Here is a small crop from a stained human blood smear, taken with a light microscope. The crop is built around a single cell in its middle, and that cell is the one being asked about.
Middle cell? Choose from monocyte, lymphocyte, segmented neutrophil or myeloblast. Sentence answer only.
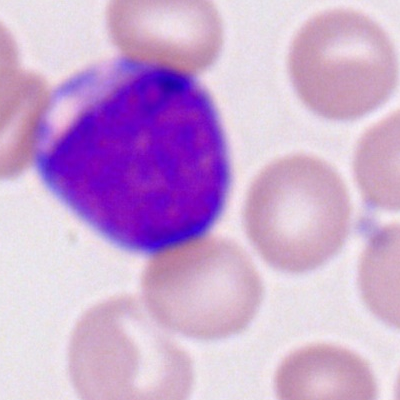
Answering briefly, the cell in the middle is a myeloblast.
